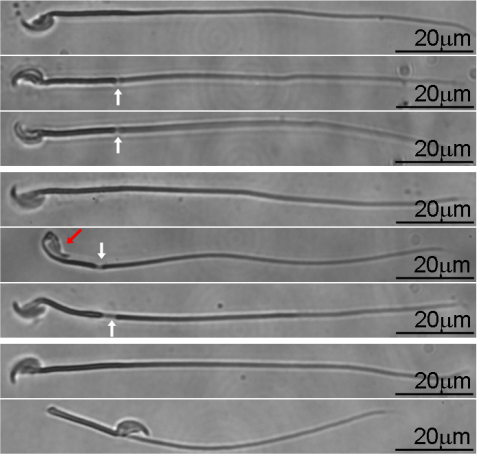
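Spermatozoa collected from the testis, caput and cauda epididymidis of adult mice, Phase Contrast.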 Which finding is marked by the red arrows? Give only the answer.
Bent head wrapped around the neck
